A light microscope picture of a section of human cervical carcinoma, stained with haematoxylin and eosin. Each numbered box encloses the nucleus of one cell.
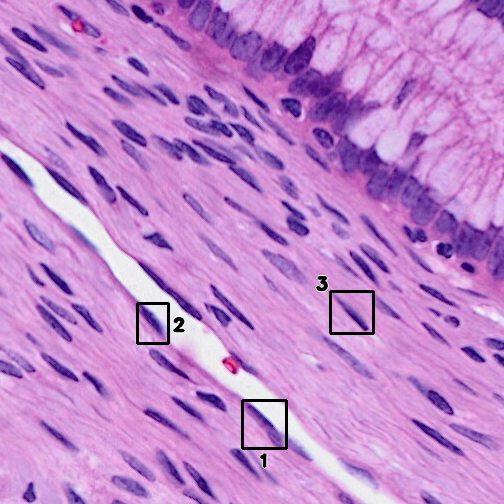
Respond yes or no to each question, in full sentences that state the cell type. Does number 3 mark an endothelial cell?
No, cell 3 counts as a fibroblast rather than as an endothelial cell.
